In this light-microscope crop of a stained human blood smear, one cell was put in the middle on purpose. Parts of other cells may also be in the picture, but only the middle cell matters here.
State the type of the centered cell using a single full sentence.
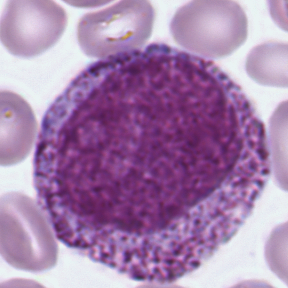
What the crop centres on is a promyelocyte.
